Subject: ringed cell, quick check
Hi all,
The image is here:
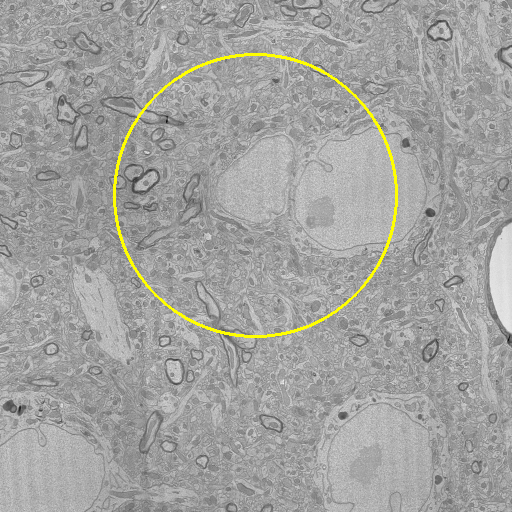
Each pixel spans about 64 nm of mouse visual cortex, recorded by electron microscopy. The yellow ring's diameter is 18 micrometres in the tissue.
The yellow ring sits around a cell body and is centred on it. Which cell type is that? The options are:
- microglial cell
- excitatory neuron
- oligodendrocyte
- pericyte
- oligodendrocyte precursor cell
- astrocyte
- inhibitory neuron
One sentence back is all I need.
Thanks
That ringed cell is an oligodendrocyte precursor cell.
